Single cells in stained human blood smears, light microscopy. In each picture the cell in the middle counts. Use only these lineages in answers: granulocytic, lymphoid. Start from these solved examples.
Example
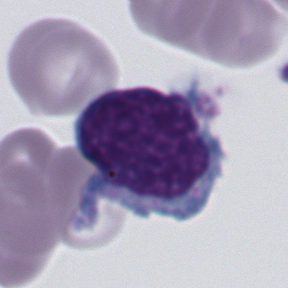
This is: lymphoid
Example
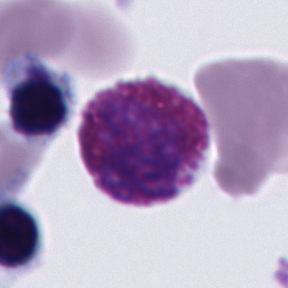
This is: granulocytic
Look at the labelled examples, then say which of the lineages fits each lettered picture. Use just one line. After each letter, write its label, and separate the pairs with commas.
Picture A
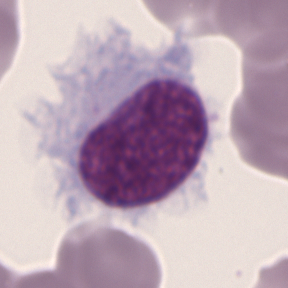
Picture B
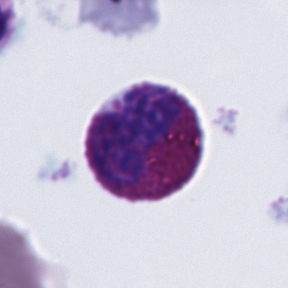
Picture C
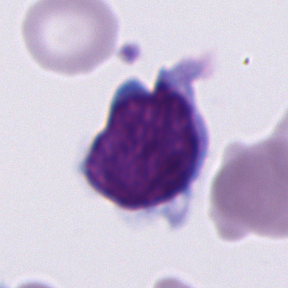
A lymphoid, B granulocytic, C lymphoid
